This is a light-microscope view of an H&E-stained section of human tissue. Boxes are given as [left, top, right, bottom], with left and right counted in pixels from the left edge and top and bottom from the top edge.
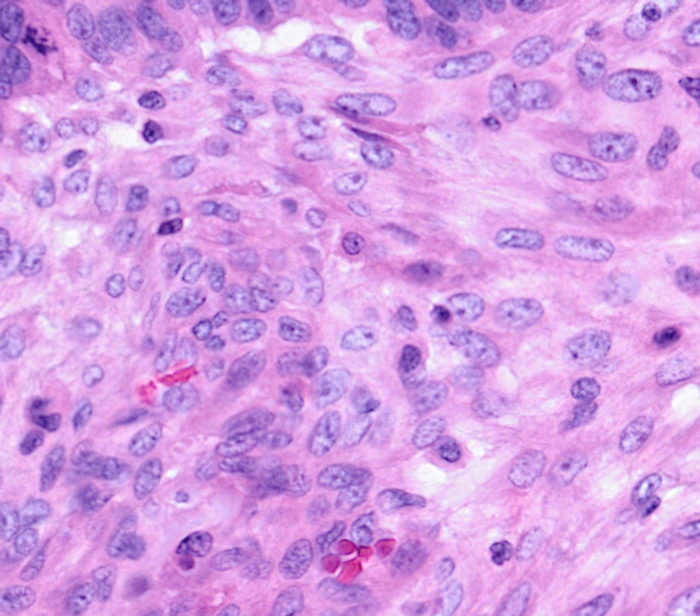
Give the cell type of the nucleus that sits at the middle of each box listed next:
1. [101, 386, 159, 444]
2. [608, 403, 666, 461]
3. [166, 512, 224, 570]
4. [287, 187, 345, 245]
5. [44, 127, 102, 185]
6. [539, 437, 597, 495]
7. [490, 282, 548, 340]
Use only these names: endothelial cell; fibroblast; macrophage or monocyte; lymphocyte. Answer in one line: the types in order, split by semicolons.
endothelial cell; fibroblast; macrophage or monocyte; fibroblast; lymphocyte; fibroblast; fibroblast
